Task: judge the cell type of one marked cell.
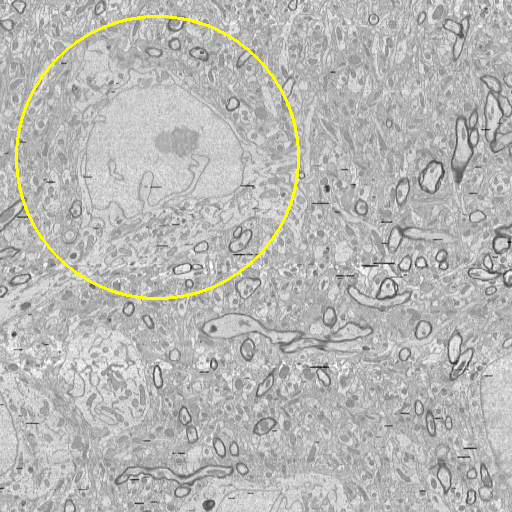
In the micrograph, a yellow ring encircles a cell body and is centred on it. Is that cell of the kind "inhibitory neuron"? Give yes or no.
yes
